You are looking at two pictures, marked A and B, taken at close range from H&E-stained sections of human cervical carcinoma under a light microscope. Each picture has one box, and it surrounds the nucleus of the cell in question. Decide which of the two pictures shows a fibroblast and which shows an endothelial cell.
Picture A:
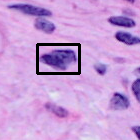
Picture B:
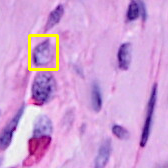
A: fibroblast
B: endothelial cell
